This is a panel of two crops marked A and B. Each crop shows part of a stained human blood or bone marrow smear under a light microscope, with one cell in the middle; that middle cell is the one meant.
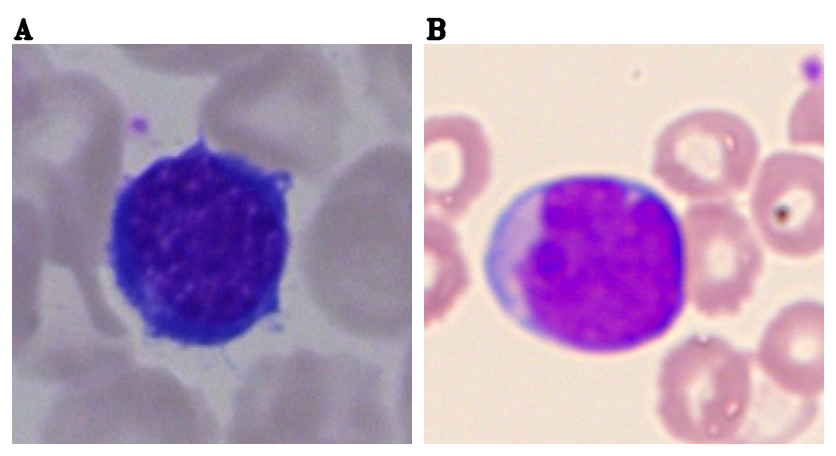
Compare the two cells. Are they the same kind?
no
